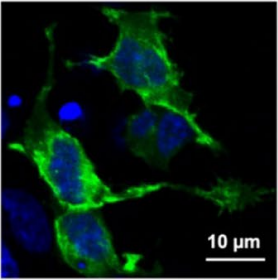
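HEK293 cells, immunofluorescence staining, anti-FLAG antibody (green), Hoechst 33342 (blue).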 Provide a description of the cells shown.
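The green signal is brightest along the cell edges, tracing the outline of each cell, with fainter green over the cytoplasm. At the margins the cells send out thin, spiky projections and ruffled edges that are outlined in green. Neighbouring cells touch one another, and their borders show as bright green lines between them.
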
